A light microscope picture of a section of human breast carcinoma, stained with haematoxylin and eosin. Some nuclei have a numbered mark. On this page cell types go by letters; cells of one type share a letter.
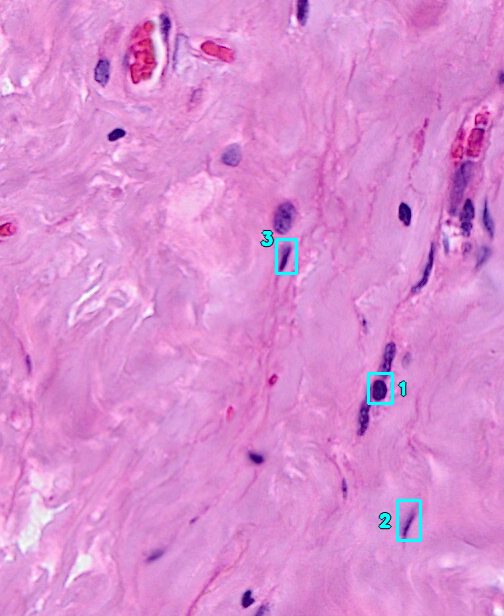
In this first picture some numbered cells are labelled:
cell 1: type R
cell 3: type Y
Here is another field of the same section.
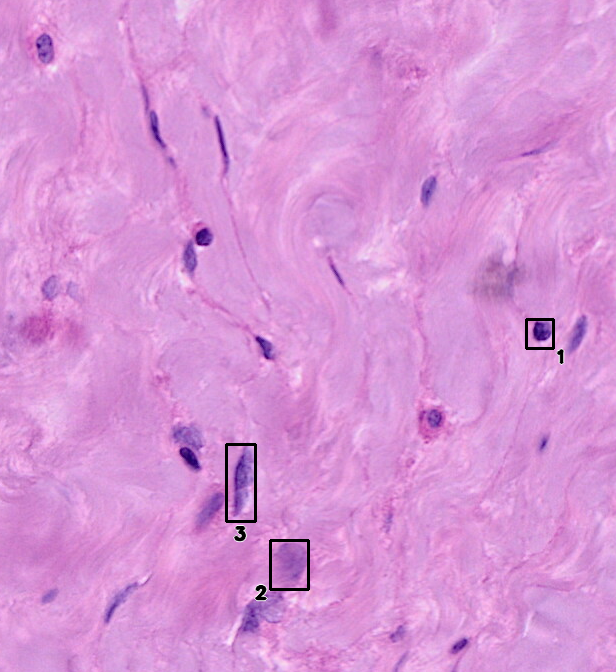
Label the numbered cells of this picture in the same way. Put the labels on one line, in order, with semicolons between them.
type R; type Y; type Y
